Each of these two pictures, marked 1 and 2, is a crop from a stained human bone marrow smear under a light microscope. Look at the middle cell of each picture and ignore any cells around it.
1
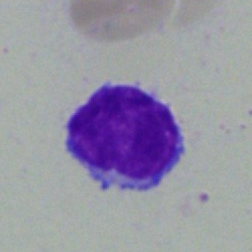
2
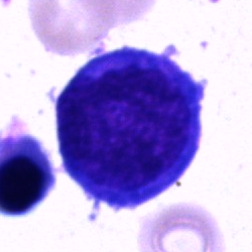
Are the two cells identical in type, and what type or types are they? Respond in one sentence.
No, what crop 1 shows is a lymphocyte, and what crop 2 shows is a blast.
